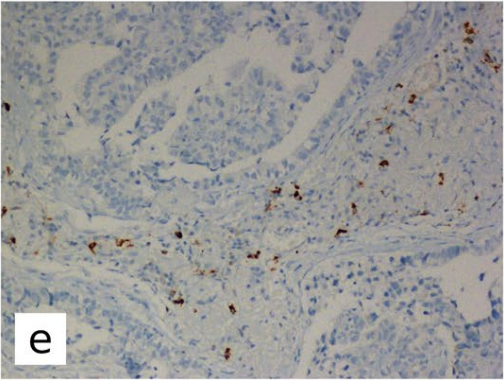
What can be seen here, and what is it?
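Between the epithelial structures lies fibrous stroma. Scattered small single cells with dark brown cytoplasmic granules lie mainly in the stroma, not among the tumour cells.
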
